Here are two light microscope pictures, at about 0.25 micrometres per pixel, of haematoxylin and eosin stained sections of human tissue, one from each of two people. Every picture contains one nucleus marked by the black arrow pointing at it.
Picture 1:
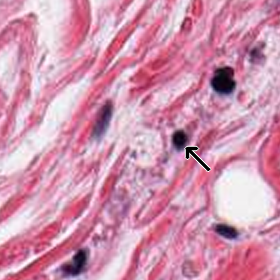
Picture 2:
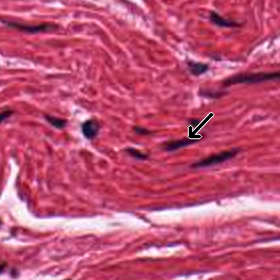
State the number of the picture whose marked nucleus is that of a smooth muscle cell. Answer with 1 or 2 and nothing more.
2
